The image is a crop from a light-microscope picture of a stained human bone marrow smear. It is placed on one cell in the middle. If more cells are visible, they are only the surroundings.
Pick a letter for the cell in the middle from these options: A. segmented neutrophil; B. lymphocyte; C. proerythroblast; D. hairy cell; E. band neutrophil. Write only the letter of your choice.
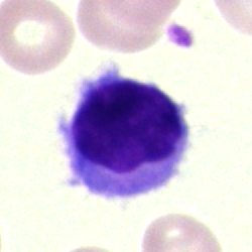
D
